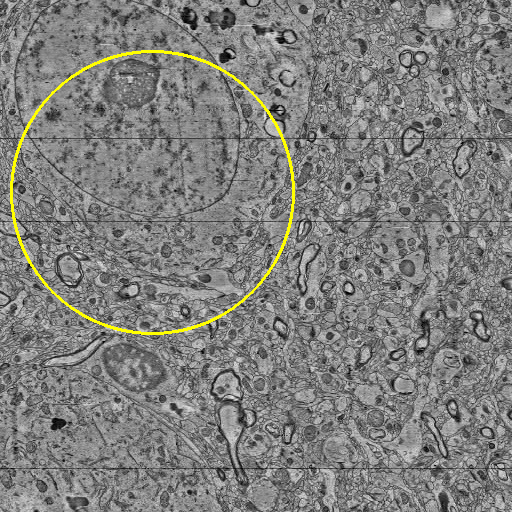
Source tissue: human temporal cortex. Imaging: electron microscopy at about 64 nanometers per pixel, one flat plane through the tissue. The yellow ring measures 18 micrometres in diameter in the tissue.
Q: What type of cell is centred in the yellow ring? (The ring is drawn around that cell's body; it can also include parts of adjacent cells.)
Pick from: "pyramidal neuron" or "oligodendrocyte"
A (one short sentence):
The yellow ring is centred on a pyramidal neuron.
